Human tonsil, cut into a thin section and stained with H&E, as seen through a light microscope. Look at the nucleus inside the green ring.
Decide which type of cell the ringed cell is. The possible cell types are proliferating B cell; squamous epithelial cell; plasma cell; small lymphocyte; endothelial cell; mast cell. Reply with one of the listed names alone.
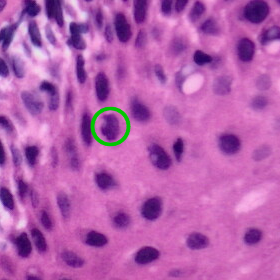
squamous epithelial cell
